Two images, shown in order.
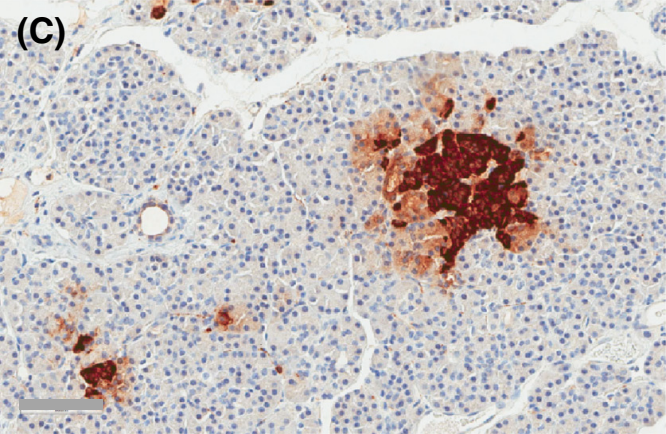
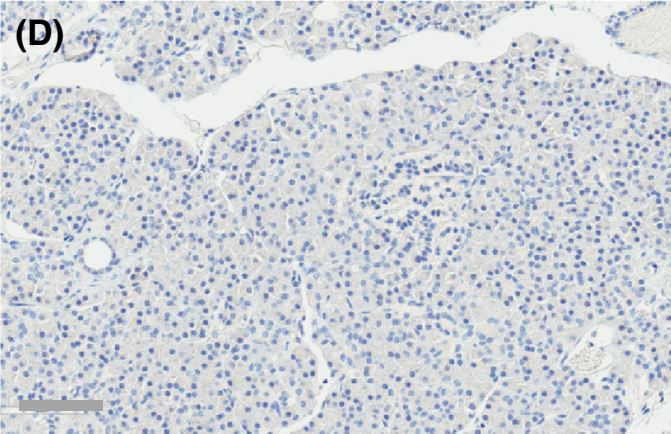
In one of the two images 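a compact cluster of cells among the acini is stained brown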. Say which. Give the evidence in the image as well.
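The first image. Second image: the whole field, acini and all, shows only blue nuclei with no brown cluster. First image: a dense dark brown cluster of cells lies among the acini, with smaller brown groups nearby.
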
